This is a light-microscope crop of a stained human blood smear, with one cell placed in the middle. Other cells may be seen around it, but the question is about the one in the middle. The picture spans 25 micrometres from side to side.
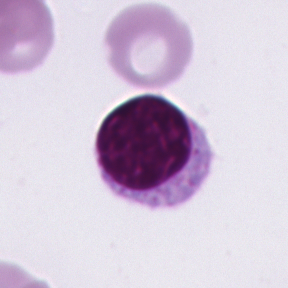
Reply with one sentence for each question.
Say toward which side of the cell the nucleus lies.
The nucleus lies toward the upper left of the cell.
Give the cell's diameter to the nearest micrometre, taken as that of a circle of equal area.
About 10 micrometres: that is the cell's diameter.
